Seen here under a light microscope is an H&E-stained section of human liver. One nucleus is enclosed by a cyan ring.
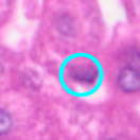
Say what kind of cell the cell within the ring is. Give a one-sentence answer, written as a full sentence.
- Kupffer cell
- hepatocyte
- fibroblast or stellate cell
To be brief about it, the cell within the ring is a Kupffer cell.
